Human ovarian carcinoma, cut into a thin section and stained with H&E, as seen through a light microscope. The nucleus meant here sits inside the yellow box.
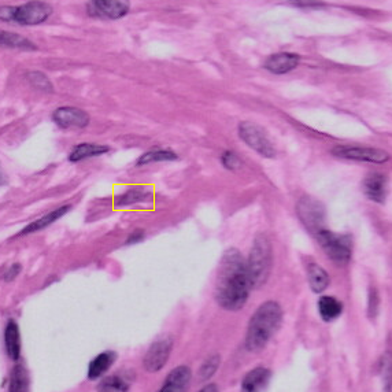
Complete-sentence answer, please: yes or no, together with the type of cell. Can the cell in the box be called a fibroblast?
Yes, in terms of cell type, the cell in the box is a fibroblast.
